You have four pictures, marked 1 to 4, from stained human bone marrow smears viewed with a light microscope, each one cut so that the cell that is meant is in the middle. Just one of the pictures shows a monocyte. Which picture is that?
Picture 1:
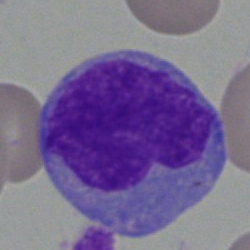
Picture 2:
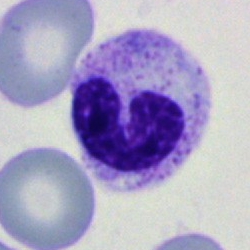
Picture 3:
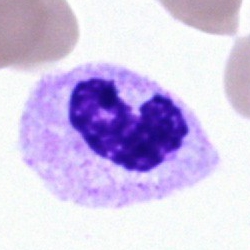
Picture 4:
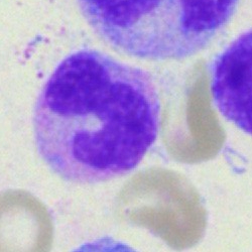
1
